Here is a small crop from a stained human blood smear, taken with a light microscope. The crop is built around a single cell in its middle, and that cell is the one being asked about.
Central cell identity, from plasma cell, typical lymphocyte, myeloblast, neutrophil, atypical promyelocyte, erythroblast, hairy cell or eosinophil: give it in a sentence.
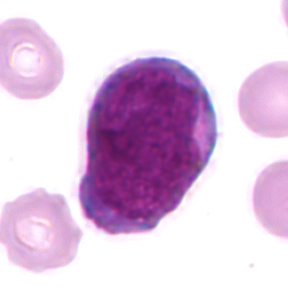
In short, the cell at the center is an atypical promyelocyte.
